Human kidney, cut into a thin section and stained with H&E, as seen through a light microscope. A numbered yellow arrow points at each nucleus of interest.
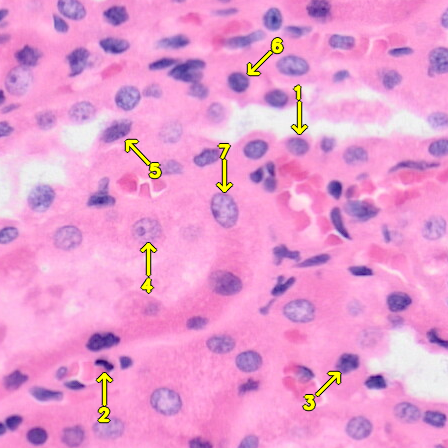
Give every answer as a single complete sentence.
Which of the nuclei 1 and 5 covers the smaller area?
Number 1 is smaller, since number 5 takes up about 1.5 times as much area.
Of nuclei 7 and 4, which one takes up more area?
Number 7 is larger; its area is about 1.5 times that of number 4.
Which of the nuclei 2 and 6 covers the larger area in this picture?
Of the two, number 6 is bigger and takes up about 2 times the area of number 2.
